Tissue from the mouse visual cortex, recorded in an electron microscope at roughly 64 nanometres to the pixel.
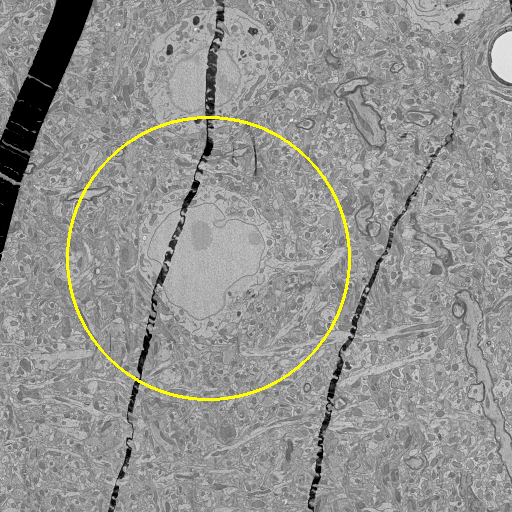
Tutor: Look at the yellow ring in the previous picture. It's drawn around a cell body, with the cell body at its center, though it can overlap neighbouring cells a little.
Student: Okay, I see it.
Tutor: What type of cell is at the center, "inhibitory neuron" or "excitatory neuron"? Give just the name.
excitatory neuron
